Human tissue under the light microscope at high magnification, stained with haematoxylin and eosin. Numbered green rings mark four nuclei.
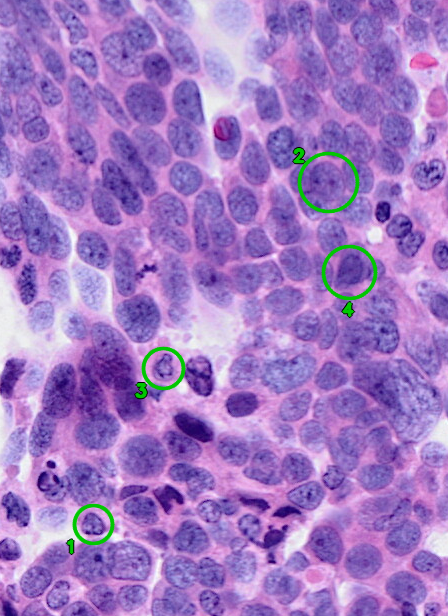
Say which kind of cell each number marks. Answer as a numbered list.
1. macrophage or monocyte
2. carcinoma cell
3. macrophage or monocyte
4. carcinoma cell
